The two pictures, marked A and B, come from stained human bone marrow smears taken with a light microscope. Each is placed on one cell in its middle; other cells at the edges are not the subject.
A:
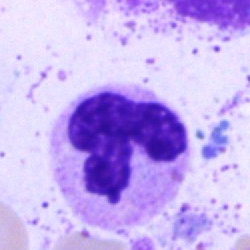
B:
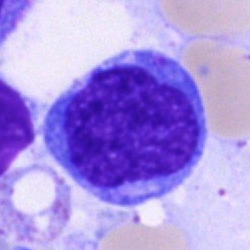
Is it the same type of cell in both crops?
no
